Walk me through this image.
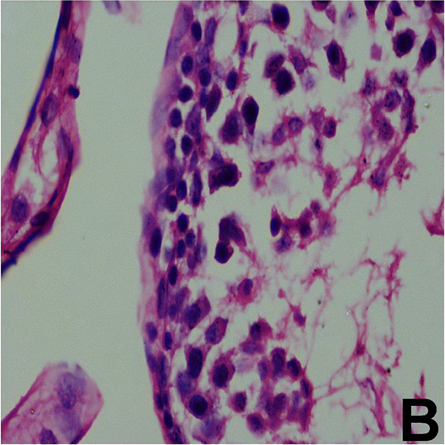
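This is the edge of a seminiferous tubule of the testis, where the germ cells look degenerated. Along the wall a band of cells with dark purple nuclei is still present. Further in, the cells are scattered and separated by wide clear spaces, and many nuclei are dark and irregular in outline. The centre holds only a loose, pale pink network with few cells in it, quite unlike a densely layered epithelium.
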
